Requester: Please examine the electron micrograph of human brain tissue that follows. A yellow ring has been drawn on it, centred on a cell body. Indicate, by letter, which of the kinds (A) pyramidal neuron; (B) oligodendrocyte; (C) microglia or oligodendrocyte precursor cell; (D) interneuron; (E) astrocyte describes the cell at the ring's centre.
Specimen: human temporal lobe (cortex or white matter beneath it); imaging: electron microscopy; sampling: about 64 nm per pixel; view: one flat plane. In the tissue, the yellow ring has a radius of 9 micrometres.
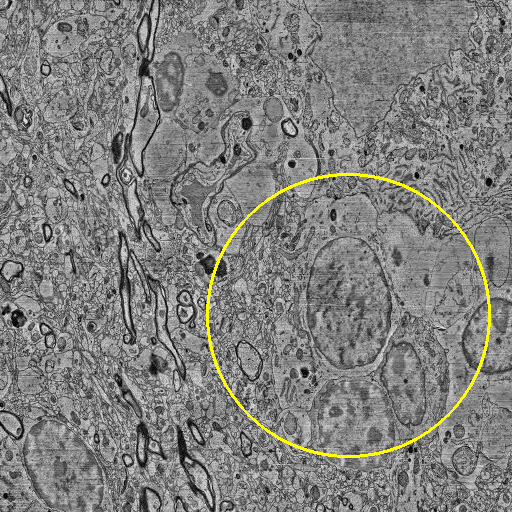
C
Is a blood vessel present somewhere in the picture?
Yes.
